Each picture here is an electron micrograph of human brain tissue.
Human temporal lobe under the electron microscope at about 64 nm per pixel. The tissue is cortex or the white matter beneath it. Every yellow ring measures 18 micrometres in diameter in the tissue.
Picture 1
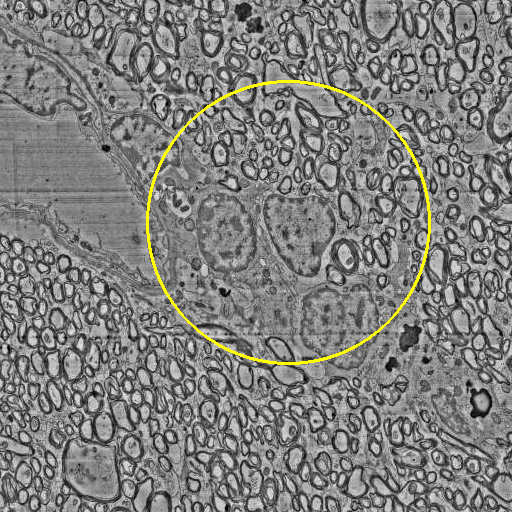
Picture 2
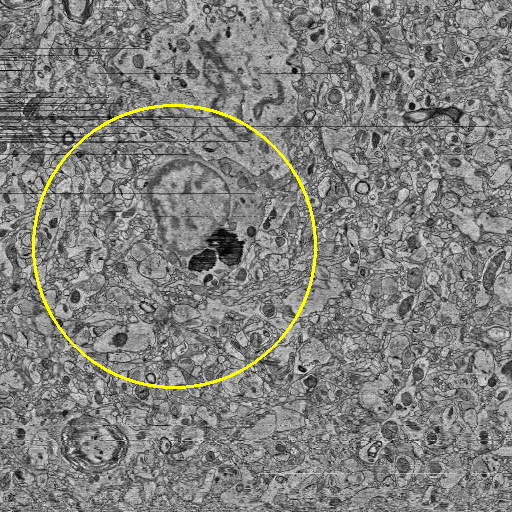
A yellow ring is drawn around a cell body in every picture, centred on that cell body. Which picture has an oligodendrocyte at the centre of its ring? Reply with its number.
2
